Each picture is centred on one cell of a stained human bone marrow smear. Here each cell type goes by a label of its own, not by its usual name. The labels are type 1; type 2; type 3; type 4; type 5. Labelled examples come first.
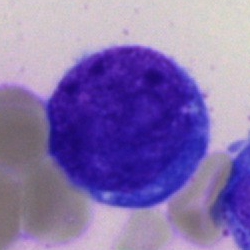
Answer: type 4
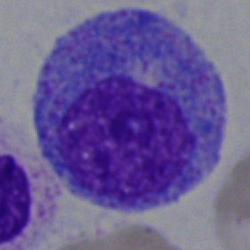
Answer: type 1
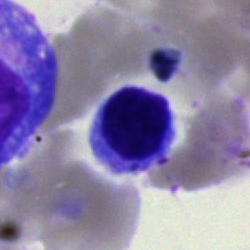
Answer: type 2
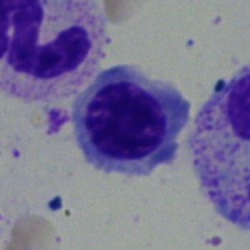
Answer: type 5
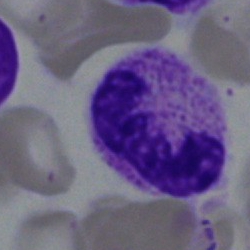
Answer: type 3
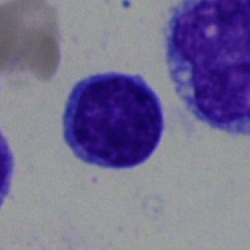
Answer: type 2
